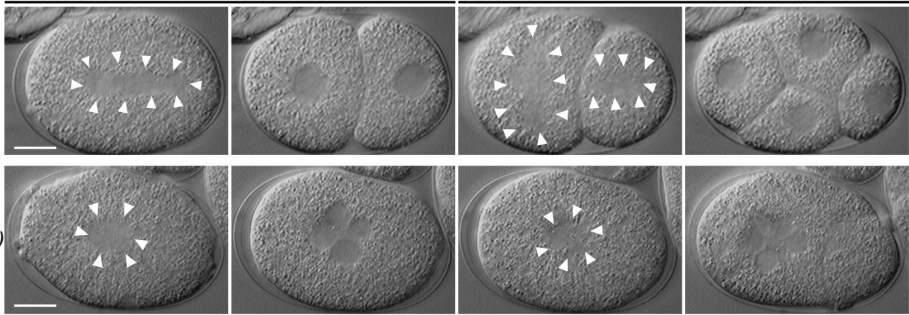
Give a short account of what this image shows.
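Oval early embryos inside a thin eggshell are seen in differential interference contrast, with densely granular cytoplasm. In the top row a long, clear, granule-free zone spans the middle of the one-cell embryo, which then divides into two cells with round nuclei, and later clear zones lie in both cells before the embryo reaches four cells. In the bottom row the clear zone outlined by the arrowheads is small and round, and the embryo stays a single cell in which several small nuclei cluster together in the centre.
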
